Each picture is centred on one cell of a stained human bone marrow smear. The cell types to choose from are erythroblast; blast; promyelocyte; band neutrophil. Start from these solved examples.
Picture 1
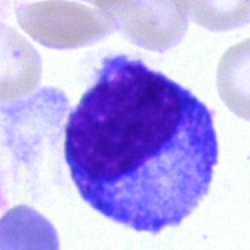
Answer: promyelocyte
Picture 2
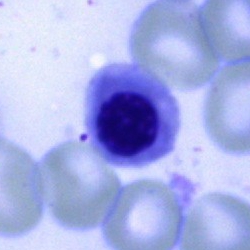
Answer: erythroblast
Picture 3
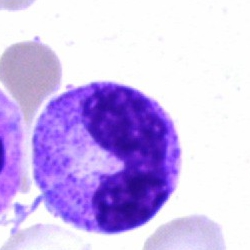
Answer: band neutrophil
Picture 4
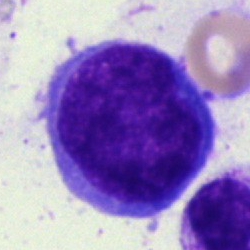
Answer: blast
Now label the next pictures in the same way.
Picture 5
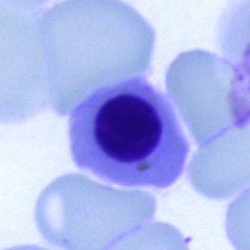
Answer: erythroblast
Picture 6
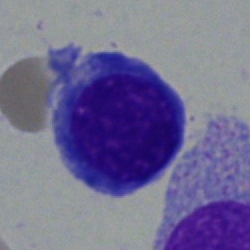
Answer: erythroblast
